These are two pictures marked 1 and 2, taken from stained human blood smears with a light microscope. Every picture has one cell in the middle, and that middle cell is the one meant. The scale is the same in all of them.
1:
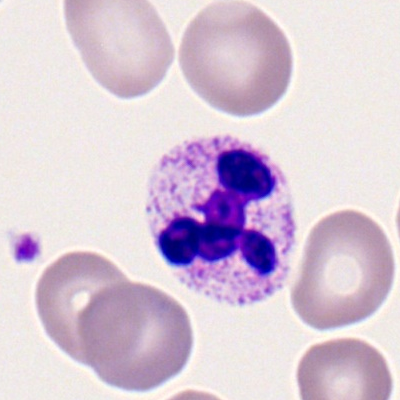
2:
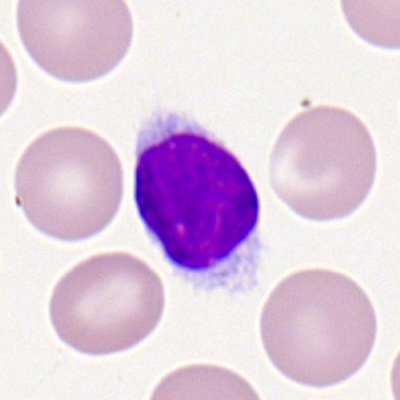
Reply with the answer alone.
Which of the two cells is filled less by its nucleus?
1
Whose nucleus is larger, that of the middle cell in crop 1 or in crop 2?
2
